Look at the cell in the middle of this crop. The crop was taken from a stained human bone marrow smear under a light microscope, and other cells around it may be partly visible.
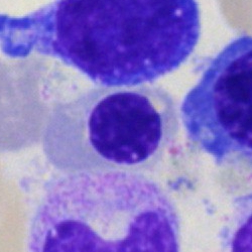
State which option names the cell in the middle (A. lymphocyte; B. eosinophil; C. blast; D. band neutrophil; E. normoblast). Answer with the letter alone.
E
